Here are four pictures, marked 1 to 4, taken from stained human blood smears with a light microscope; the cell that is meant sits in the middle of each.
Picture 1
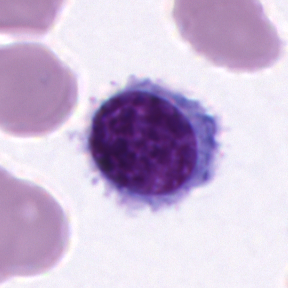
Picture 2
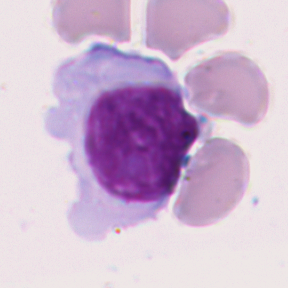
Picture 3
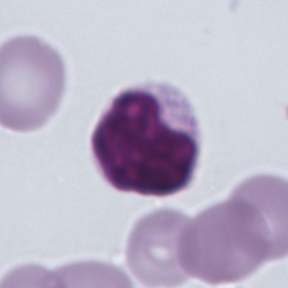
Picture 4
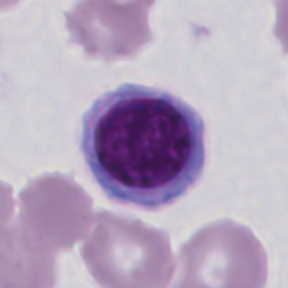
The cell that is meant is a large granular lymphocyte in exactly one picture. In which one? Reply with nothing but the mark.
3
